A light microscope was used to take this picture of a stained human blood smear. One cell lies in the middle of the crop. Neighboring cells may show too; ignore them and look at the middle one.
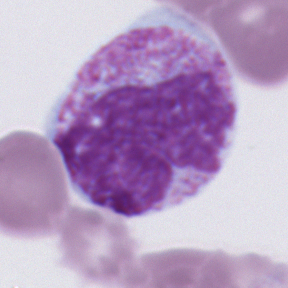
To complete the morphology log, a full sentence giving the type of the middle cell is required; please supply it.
By classification, the middle cell of this crop is a band neutrophil.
